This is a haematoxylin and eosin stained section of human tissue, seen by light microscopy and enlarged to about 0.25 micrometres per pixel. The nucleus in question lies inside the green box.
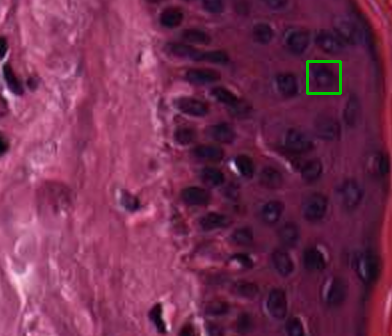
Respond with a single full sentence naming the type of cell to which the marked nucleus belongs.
The mark in this picture falls on the nucleus of a keratinocyte.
